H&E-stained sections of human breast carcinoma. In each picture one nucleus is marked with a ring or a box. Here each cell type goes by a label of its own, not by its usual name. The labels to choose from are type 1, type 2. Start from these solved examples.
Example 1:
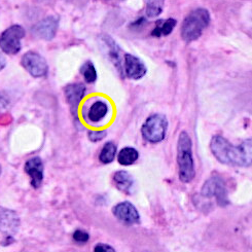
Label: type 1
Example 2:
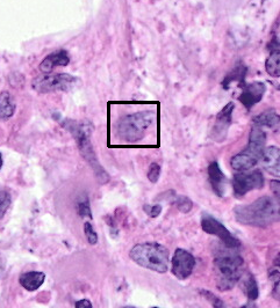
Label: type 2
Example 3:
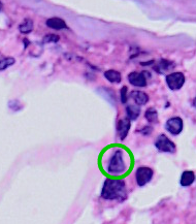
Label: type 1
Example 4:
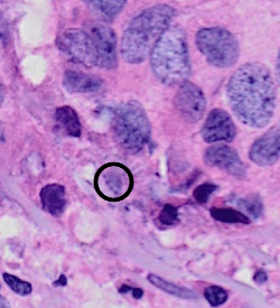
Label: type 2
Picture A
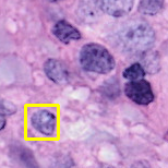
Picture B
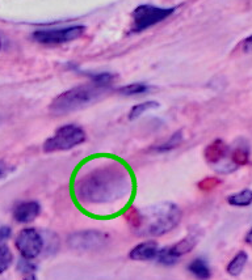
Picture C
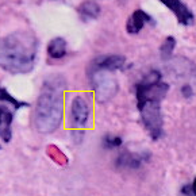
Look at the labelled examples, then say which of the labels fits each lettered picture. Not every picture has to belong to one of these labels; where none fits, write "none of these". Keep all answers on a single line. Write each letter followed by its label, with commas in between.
A type 2, B none of these, C none of these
